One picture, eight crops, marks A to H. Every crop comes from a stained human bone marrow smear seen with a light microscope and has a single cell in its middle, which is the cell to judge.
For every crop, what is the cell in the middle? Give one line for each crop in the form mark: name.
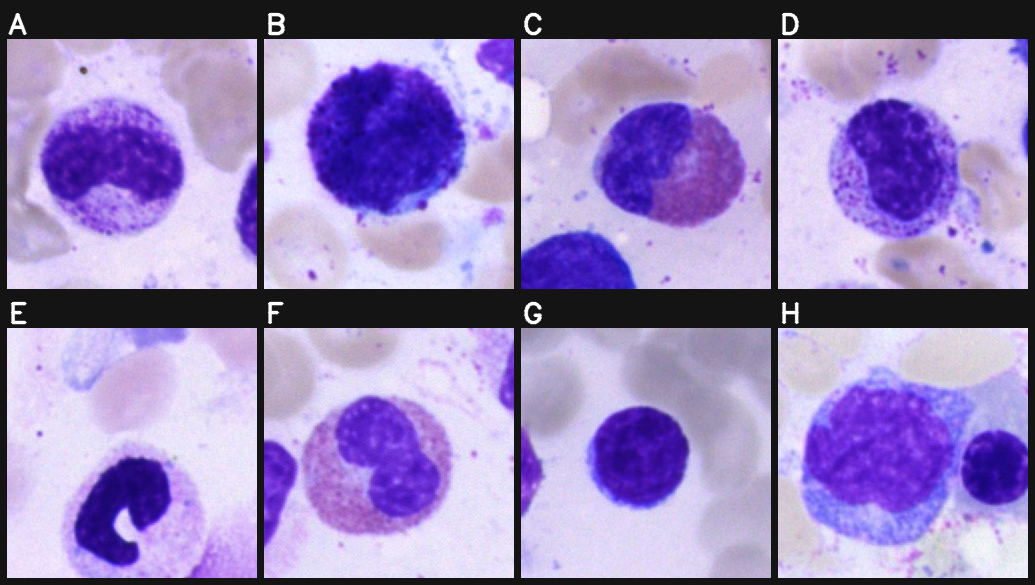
A: metamyelocyte
B: basophil
C: eosinophil
D: metamyelocyte
E: band neutrophil
F: eosinophil
G: lymphocyte
H: monocyte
